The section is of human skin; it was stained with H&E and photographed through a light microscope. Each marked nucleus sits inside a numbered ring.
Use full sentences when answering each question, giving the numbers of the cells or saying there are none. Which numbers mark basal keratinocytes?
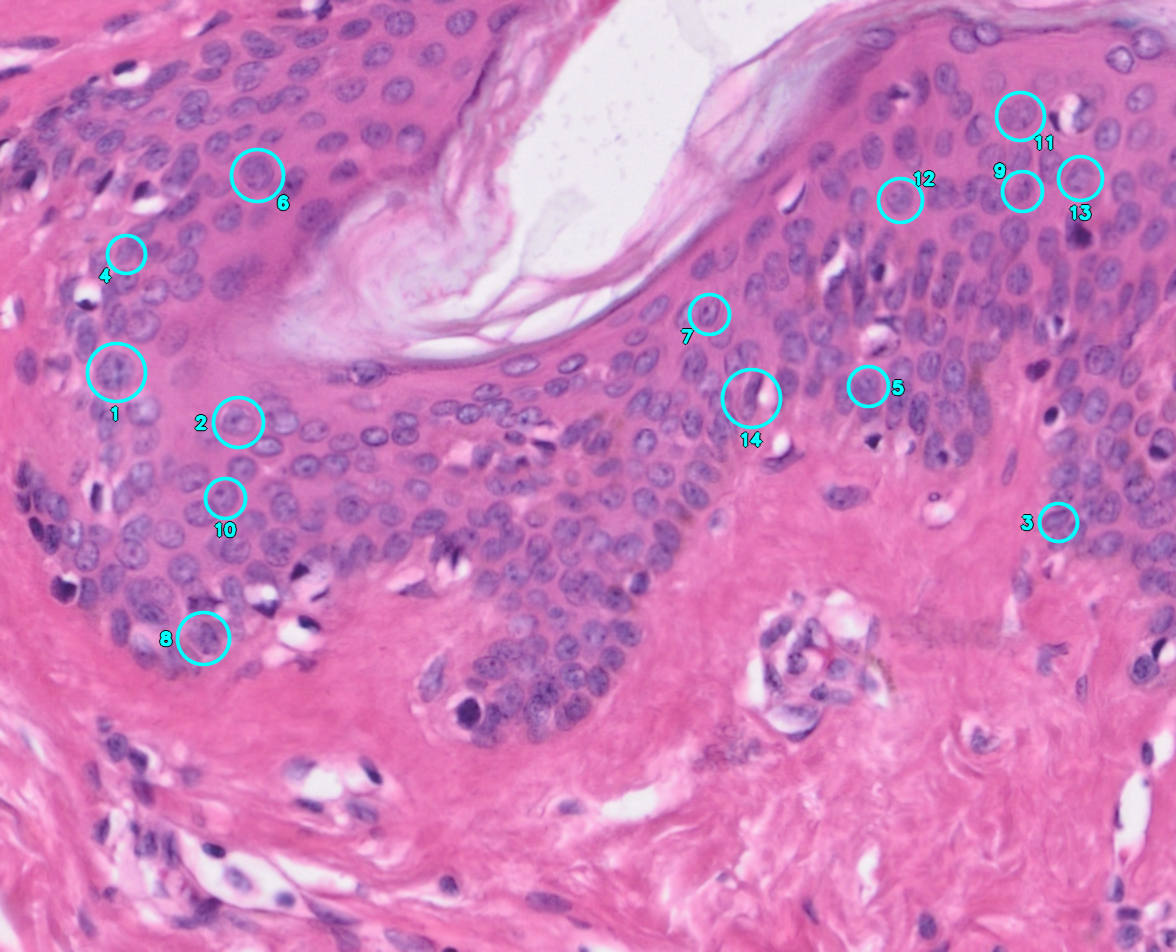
The cells that the numbers 1, 3, 4, 5, 8 and 14 belong to are basal keratinocytes.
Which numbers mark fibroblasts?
Answering directly: no fibroblasts are among the numbered cells.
